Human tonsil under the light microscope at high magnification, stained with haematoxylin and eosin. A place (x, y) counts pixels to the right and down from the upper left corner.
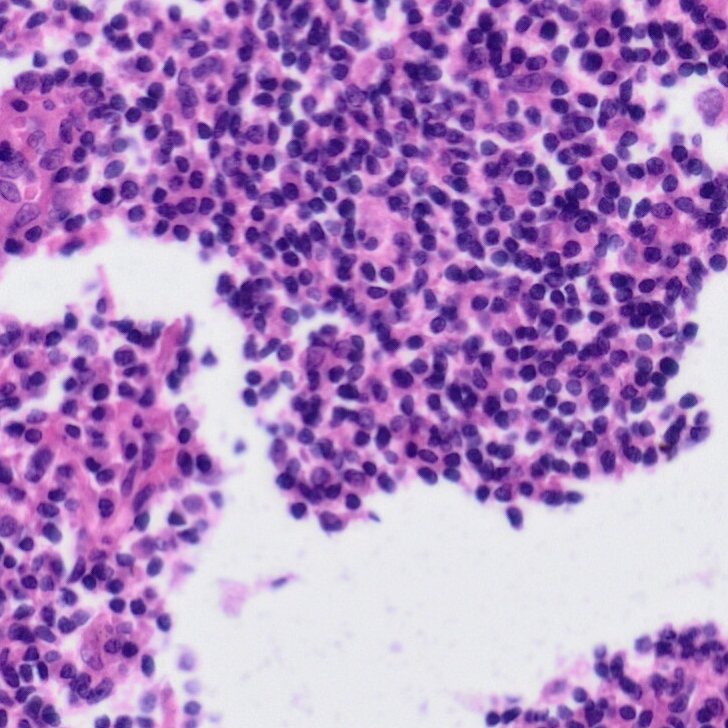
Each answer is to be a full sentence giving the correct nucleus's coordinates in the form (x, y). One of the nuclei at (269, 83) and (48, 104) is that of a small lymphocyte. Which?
The nucleus at (269, 83) is contained in a small lymphocyte.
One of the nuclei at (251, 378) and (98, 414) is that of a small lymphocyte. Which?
The nucleus of a small lymphocyte is the one at (251, 378).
